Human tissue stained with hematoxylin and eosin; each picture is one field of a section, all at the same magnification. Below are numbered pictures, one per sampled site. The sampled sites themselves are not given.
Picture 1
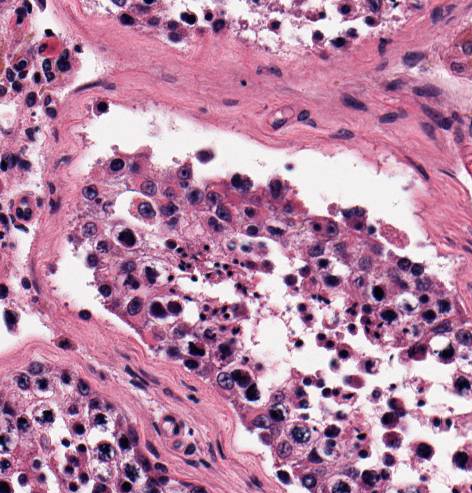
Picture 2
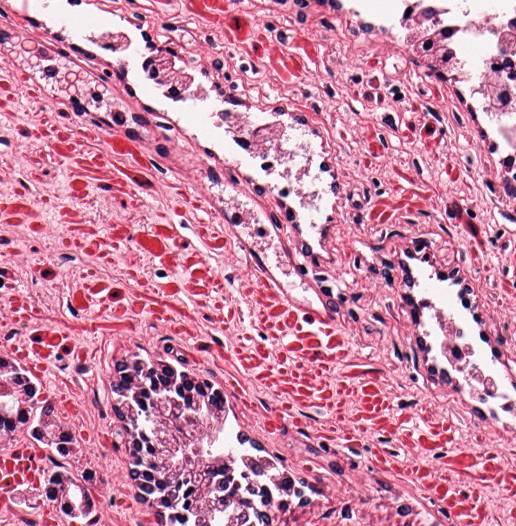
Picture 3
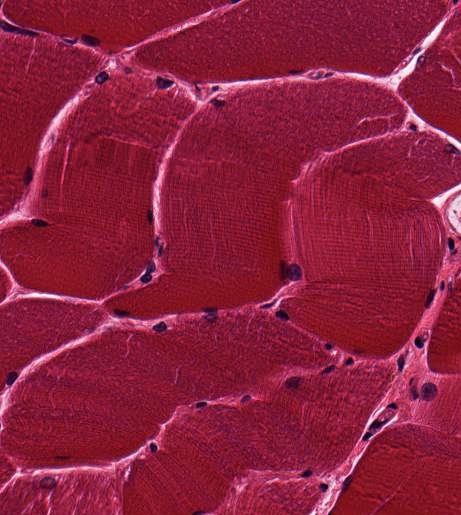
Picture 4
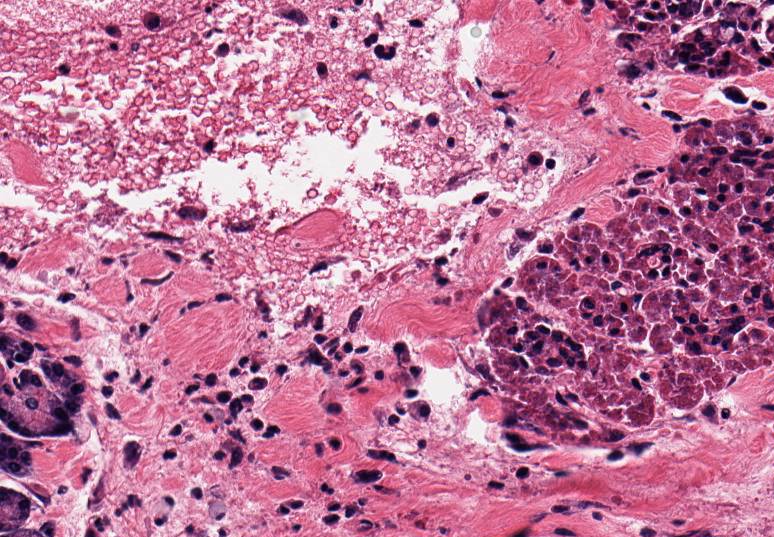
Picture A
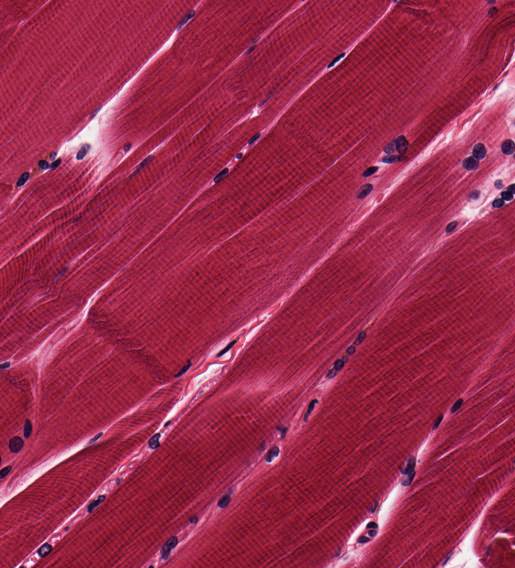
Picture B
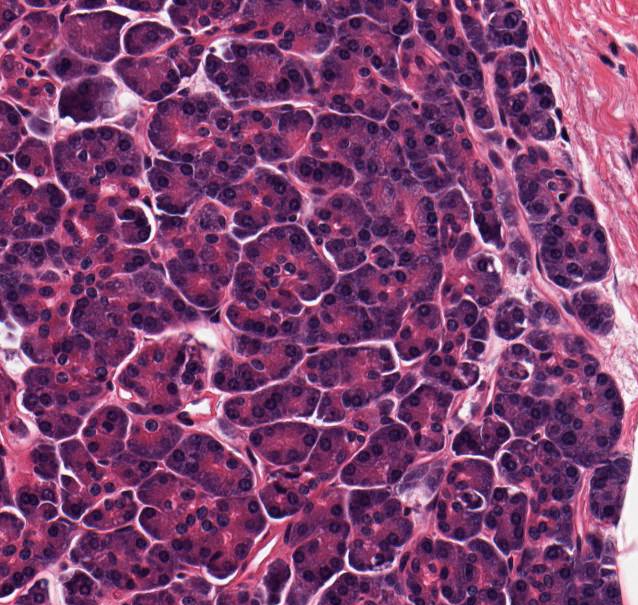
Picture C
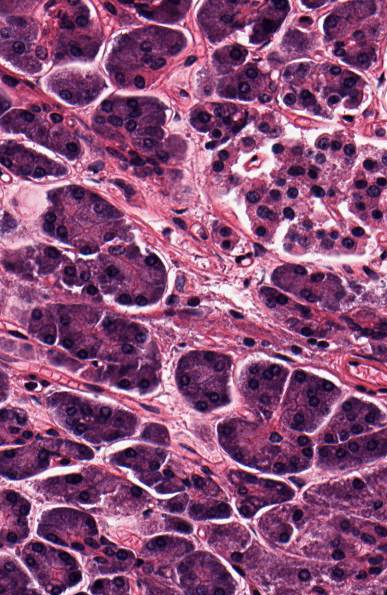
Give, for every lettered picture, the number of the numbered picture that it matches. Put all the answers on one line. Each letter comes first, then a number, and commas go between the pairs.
A 3, B 4, C 4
